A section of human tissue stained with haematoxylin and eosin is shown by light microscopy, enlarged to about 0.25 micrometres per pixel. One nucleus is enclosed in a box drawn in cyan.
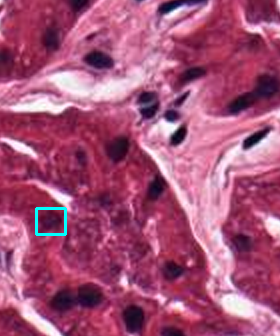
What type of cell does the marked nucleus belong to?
proximal tubule cell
